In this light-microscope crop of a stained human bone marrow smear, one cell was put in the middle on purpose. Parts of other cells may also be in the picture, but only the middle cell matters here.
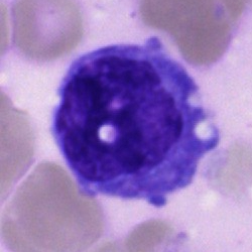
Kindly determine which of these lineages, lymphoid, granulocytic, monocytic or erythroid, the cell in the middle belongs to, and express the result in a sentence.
The middle cell of the crop belongs with the cells of the monocytic lineage.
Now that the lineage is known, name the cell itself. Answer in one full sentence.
Seen at the centre of the crop is a monocyte.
